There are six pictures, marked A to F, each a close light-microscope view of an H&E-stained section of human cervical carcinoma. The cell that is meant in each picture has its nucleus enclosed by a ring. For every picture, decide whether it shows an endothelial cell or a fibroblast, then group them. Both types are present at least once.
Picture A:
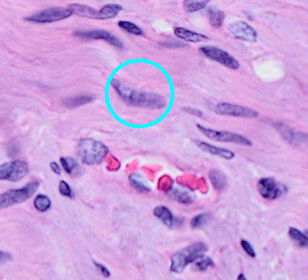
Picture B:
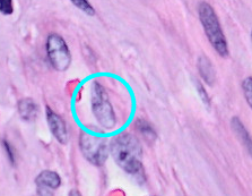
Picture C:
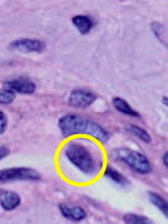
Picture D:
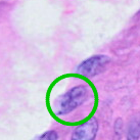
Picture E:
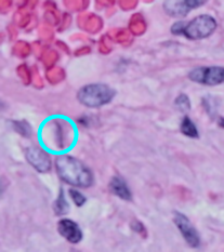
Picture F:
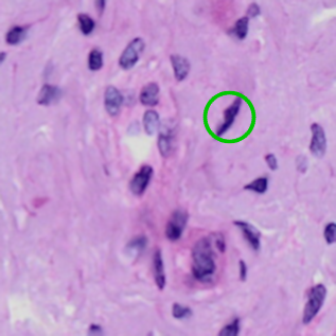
A: fibroblast
B: endothelial cell
C: endothelial cell
D: endothelial cell
E: endothelial cell
F: fibroblast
